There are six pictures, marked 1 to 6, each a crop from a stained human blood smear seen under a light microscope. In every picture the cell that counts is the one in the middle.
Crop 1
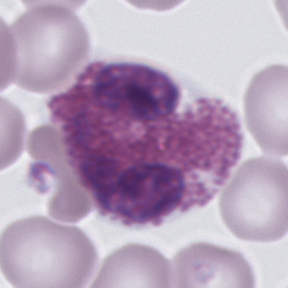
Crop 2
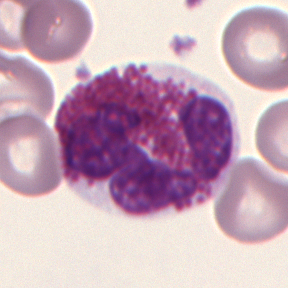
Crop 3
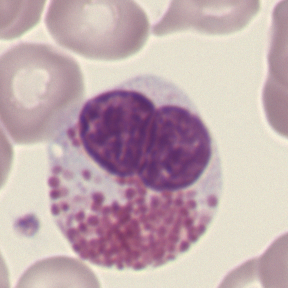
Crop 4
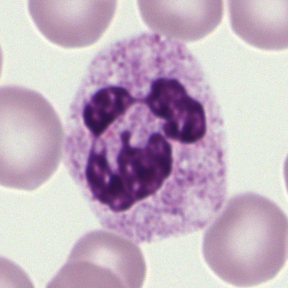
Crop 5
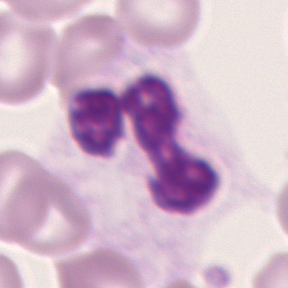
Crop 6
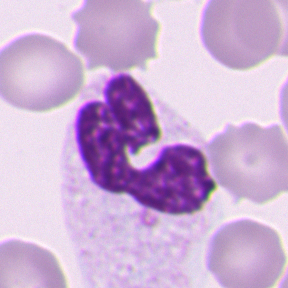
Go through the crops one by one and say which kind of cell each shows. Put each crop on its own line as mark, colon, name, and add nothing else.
1: eosinophil
2: eosinophil
3: eosinophil
4: neutrophil
5: neutrophil
6: neutrophil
